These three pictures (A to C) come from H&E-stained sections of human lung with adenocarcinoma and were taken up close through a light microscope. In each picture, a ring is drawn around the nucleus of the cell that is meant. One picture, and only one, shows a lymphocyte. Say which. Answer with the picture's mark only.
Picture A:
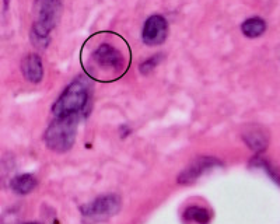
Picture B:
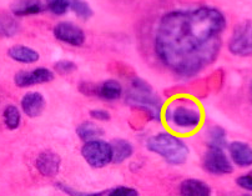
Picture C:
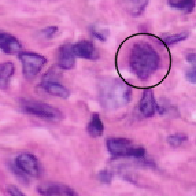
B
